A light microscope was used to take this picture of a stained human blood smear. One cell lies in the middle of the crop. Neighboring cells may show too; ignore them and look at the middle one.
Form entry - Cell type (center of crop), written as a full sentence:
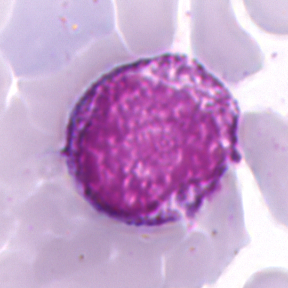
The cell marked by its central position in the crop is a myelocyte.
